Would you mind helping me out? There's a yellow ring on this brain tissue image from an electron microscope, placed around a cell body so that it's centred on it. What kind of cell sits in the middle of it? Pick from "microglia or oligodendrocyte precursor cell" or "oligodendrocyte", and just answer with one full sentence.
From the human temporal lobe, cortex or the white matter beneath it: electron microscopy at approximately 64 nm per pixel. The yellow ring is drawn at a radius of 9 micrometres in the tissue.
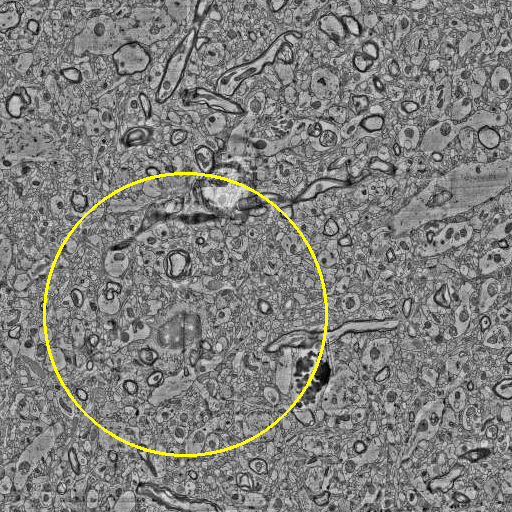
What sits in the middle of that yellow ring is an oligodendrocyte, from your choices.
